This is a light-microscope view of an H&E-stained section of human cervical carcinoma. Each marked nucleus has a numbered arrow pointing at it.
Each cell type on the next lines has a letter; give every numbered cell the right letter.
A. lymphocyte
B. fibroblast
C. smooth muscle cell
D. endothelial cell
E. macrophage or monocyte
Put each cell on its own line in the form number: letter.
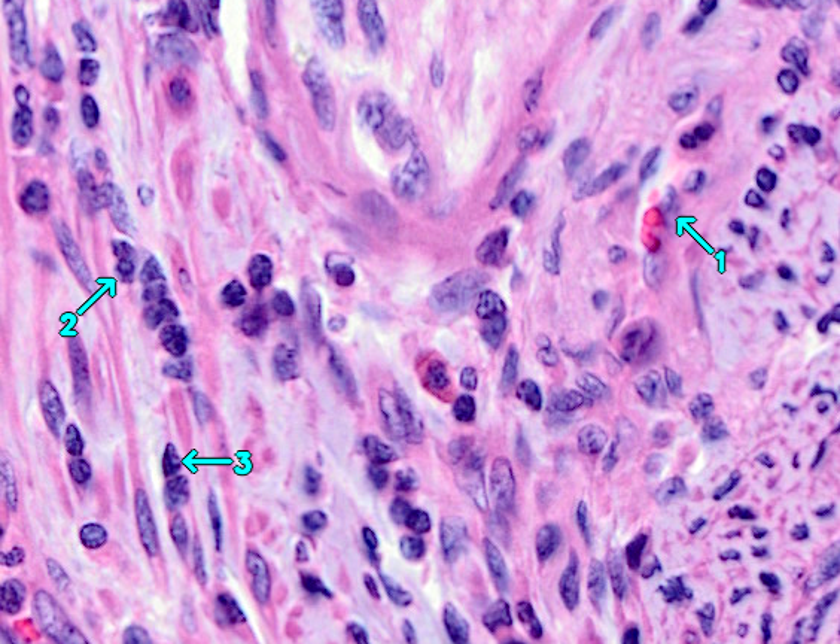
1: D
2: A
3: A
